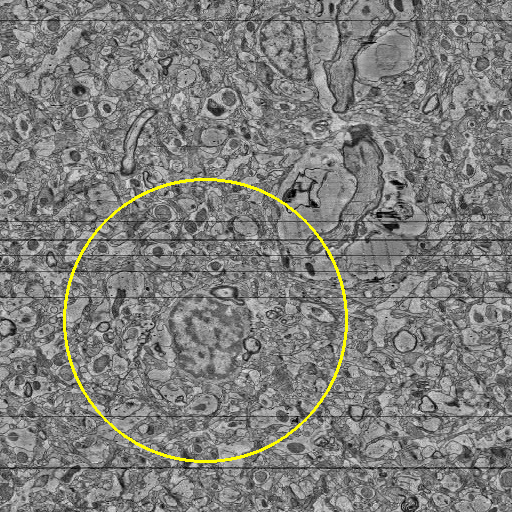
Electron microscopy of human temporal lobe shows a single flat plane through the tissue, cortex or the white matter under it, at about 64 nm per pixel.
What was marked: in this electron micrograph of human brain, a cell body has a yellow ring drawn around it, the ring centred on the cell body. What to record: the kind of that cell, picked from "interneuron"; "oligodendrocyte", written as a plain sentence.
The centred cell is an oligodendrocyte.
